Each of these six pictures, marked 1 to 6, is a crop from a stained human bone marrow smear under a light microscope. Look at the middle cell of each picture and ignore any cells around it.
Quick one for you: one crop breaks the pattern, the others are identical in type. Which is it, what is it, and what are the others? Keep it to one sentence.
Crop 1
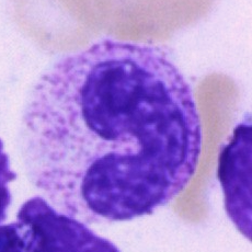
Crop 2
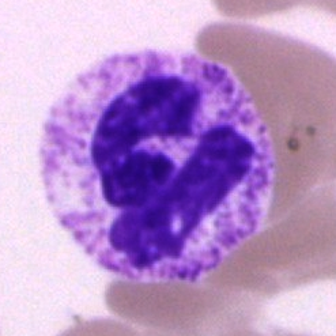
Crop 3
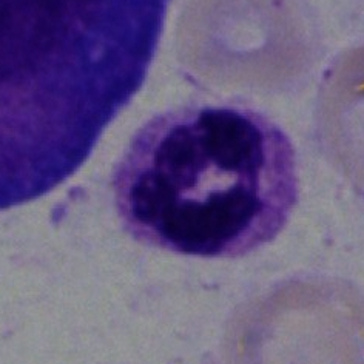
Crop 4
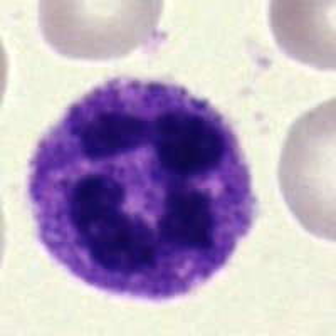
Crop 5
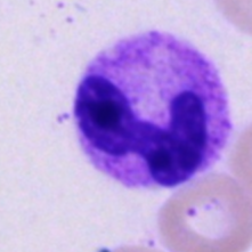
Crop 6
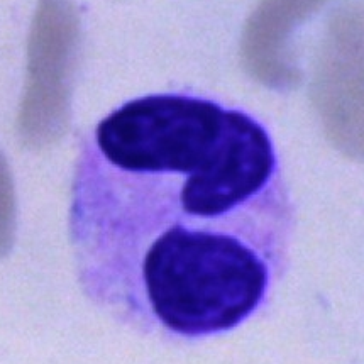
Crop 1 is a band neutrophil, and the other crops all show segmented neutrophils.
